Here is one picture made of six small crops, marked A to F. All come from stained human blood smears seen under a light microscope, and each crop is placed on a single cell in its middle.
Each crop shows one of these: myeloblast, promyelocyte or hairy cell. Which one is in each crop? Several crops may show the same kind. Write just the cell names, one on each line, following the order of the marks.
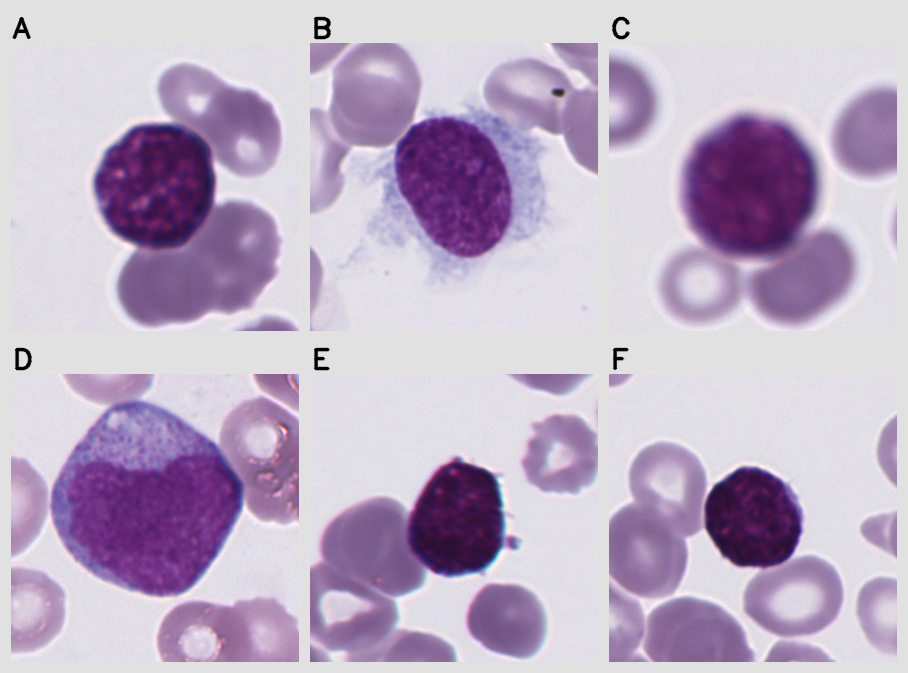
myeloblast
hairy cell
myeloblast
promyelocyte
myeloblast
myeloblast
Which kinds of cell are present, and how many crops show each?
myeloblast: 4
hairy cell: 1
promyelocyte: 1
